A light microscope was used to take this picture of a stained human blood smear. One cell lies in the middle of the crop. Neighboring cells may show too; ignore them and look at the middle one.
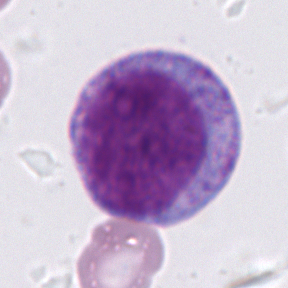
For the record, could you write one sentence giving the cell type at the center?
The middle cell in this particular crop is a promyelocyte.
